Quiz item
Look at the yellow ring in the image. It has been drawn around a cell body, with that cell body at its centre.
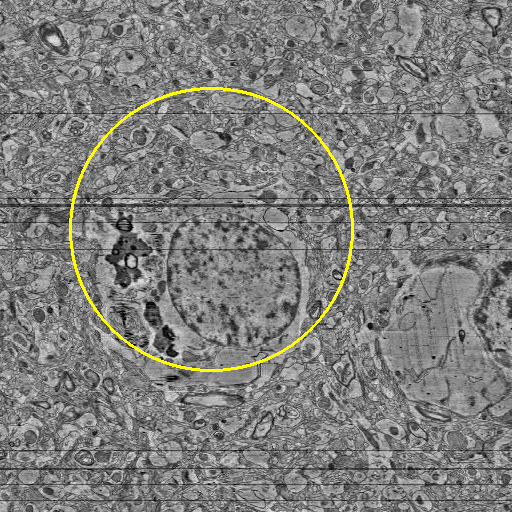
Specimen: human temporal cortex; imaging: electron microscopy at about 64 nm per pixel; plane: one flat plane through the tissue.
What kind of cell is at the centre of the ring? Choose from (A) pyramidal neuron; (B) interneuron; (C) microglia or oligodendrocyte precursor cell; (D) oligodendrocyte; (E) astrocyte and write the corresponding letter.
E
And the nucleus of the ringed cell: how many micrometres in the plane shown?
In this plane, the nucleus of the cell at the centre of the ring measures about 10 by 8 micrometres.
